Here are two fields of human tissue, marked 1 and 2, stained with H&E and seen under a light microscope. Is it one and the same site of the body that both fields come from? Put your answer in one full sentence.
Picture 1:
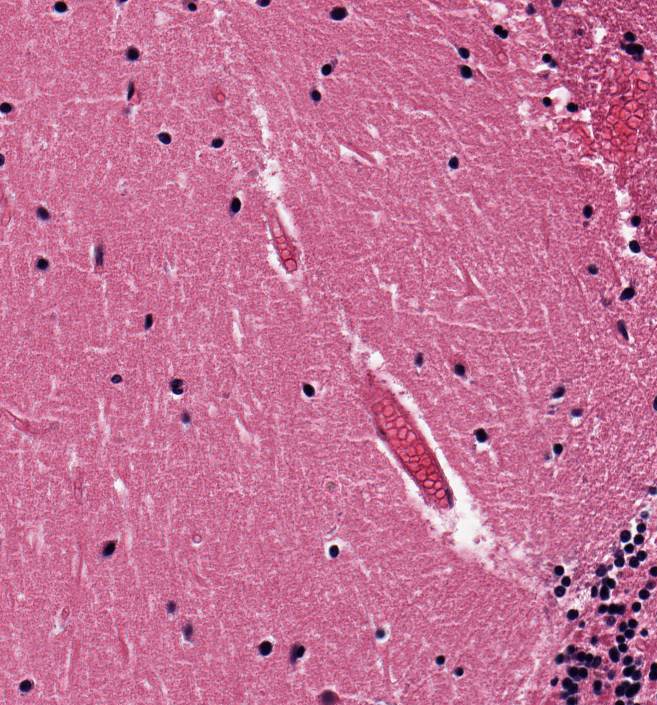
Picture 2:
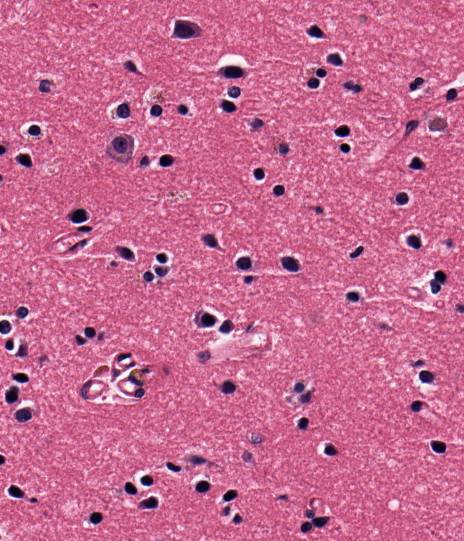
No: picture 1 comes from the cerebellum, but picture 2 comes from the cerebral cortex.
